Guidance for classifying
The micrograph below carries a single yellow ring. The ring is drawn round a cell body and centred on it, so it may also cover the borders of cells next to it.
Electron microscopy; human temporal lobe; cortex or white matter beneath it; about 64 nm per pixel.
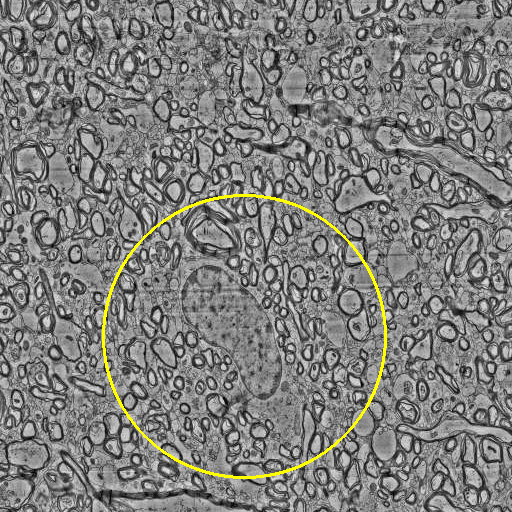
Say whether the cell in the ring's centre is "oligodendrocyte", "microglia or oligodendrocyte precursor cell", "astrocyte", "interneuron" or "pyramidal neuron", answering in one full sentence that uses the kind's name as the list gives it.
Within the yellow ring, a microglial cell or oligodendrocyte precursor cell is the cell whose body sits at the centre.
